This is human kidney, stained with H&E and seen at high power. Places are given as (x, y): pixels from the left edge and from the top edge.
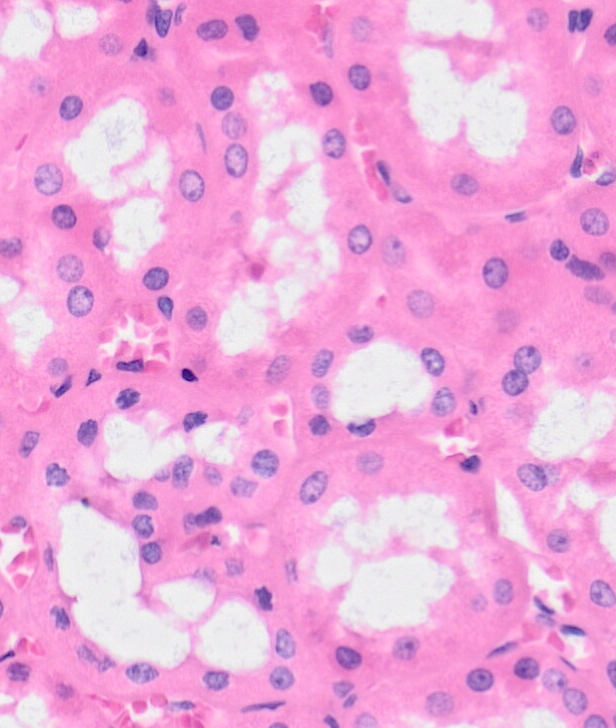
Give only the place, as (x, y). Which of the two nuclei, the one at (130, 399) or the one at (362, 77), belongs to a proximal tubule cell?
(362, 77)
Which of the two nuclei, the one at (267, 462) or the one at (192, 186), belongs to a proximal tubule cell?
(192, 186)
